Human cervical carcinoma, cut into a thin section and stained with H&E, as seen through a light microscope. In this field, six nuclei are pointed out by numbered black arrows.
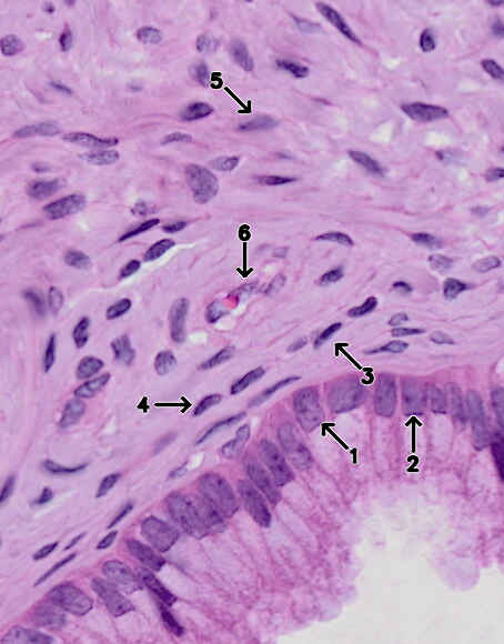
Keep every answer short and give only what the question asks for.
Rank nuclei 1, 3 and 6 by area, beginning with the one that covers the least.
3, 6, 1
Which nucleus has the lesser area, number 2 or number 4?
4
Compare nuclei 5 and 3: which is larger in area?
5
